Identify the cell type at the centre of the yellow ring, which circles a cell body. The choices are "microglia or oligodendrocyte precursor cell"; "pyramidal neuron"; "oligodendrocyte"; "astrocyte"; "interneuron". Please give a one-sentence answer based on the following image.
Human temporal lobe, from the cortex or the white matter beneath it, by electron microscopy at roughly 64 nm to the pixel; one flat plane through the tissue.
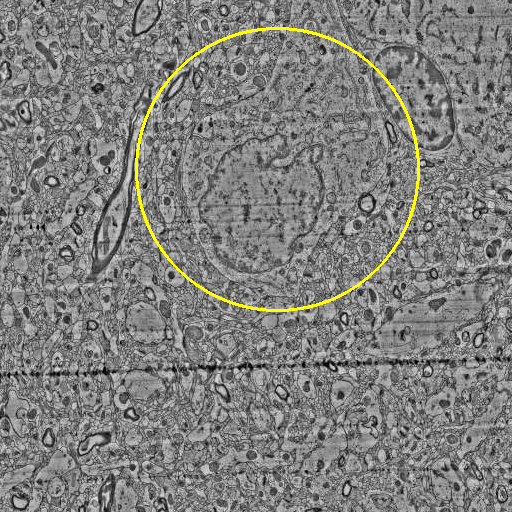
The cell marked by the ring is an interneuron.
